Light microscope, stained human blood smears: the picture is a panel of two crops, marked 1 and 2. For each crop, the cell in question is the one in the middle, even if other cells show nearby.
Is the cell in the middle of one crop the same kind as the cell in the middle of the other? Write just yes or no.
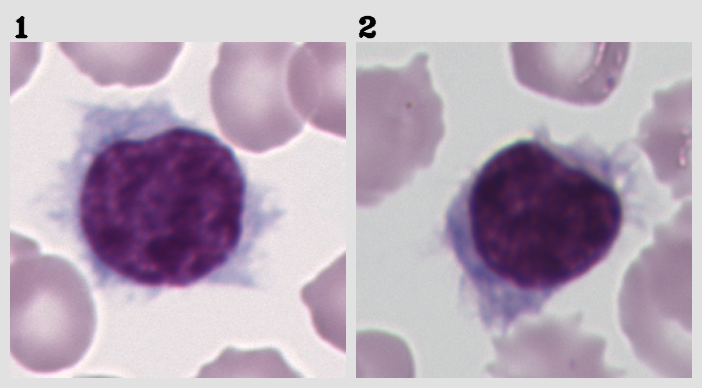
yes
